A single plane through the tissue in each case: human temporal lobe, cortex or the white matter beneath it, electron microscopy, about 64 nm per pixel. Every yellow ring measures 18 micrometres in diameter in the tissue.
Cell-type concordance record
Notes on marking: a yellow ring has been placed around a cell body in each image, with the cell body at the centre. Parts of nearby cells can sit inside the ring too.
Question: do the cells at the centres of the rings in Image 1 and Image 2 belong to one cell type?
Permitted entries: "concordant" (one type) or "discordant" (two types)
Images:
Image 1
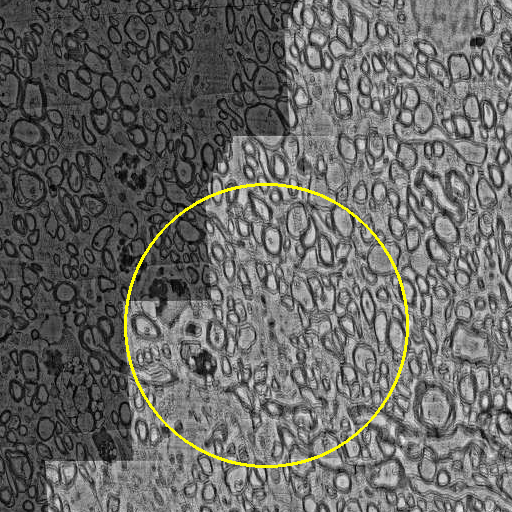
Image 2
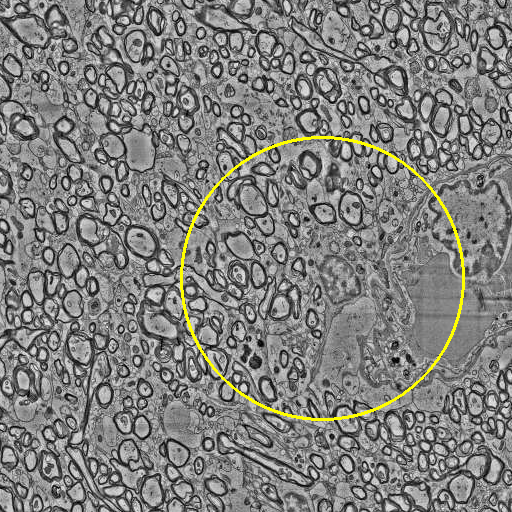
discordant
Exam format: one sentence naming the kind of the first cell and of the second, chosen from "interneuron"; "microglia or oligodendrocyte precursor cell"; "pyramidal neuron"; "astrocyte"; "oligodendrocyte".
The first picture's cell is a microglial cell or oligodendrocyte precursor cell, and the second picture's cell is an oligodendrocyte.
